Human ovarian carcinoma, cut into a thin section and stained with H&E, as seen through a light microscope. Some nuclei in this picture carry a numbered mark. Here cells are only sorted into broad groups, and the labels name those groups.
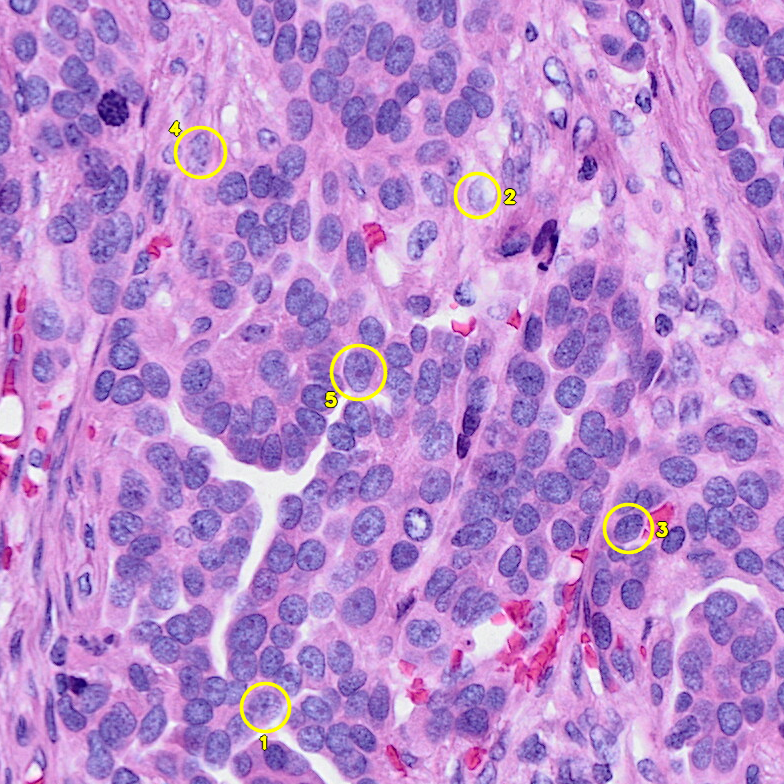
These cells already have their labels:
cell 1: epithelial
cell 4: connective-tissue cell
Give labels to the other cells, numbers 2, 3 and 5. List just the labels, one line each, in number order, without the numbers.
connective-tissue cell
epithelial
epithelial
